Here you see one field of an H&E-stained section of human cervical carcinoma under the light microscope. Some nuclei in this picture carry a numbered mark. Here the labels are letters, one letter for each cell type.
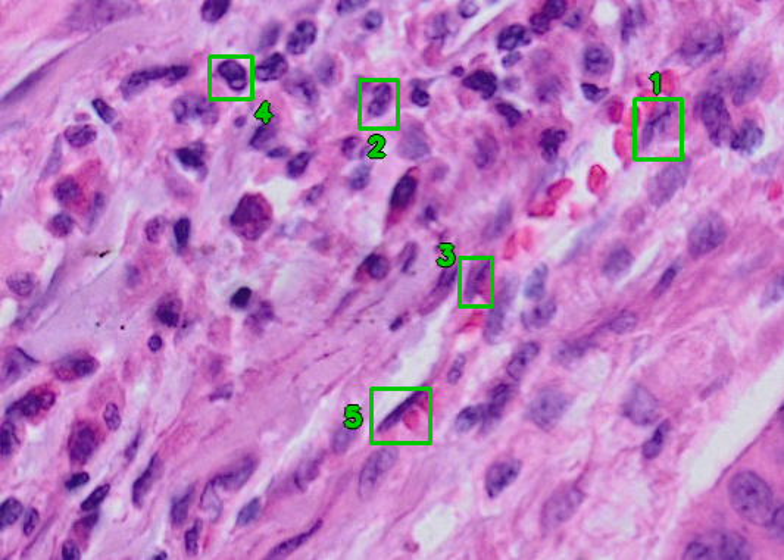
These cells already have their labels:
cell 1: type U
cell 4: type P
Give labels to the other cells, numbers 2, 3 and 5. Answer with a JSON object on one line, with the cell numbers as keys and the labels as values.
{"2": "type P", "3": "type U", "5": "type U"}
